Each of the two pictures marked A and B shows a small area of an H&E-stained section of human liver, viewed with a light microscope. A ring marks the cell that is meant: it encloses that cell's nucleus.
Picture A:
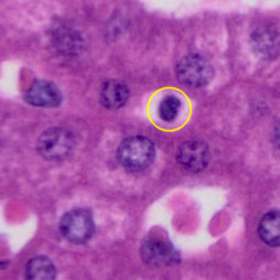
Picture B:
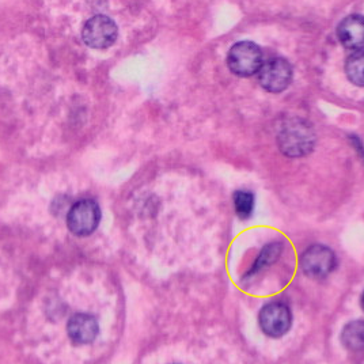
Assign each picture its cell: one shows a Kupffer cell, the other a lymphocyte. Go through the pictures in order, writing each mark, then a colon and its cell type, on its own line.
A: lymphocyte
B: Kupffer cell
